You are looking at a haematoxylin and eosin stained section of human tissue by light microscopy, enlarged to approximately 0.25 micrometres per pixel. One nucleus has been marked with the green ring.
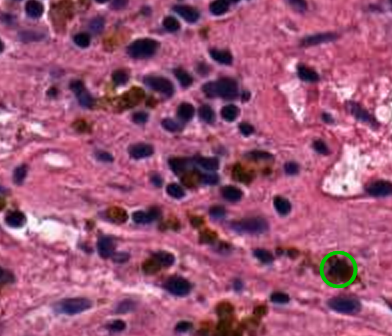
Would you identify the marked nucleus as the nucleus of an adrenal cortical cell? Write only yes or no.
no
